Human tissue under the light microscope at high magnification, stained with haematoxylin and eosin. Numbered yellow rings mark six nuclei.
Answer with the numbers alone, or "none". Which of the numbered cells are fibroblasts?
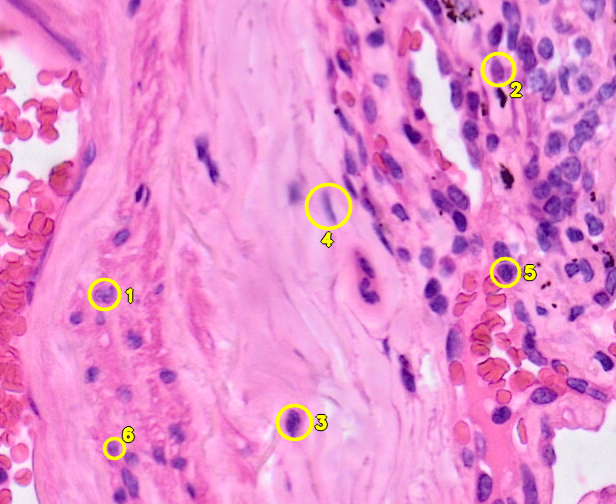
4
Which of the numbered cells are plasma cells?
2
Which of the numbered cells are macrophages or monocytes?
none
